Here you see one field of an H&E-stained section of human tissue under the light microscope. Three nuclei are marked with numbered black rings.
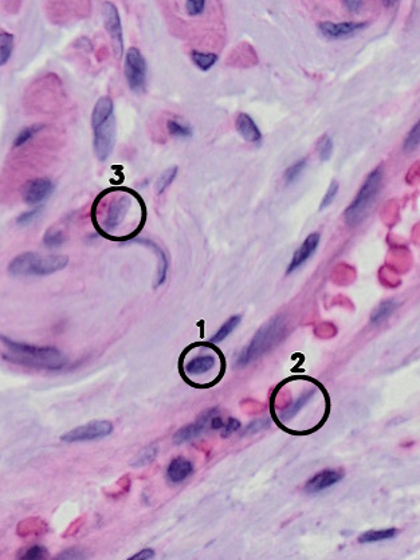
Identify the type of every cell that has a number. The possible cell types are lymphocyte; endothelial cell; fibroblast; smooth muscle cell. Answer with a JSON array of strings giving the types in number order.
["lymphocyte", "endothelial cell", "endothelial cell"]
